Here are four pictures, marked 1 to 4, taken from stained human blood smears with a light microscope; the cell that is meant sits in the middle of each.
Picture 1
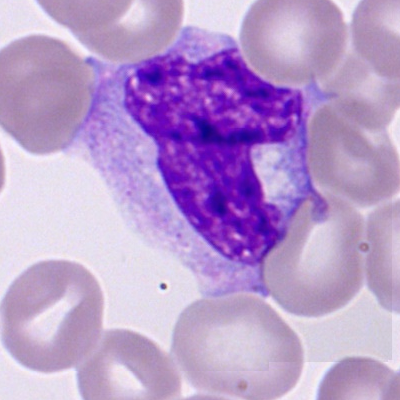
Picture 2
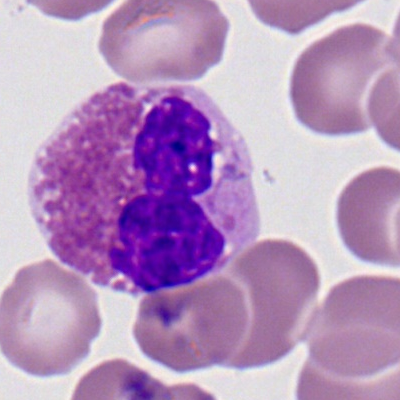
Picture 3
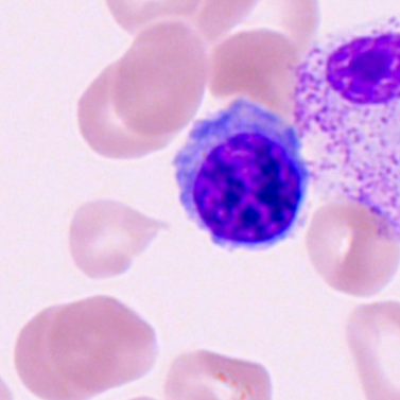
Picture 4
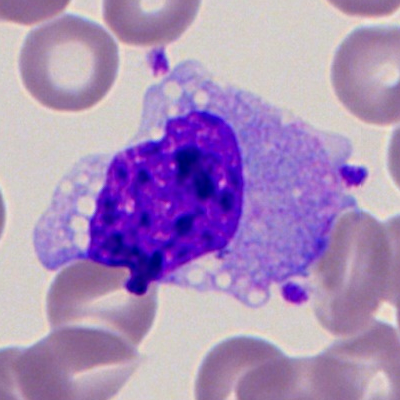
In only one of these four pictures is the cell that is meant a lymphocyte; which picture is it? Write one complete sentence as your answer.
The cell in picture 3 is the lymphocyte.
